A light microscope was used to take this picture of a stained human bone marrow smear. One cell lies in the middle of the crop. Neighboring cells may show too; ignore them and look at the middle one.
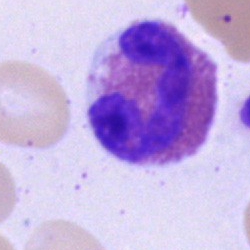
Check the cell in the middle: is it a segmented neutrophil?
no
